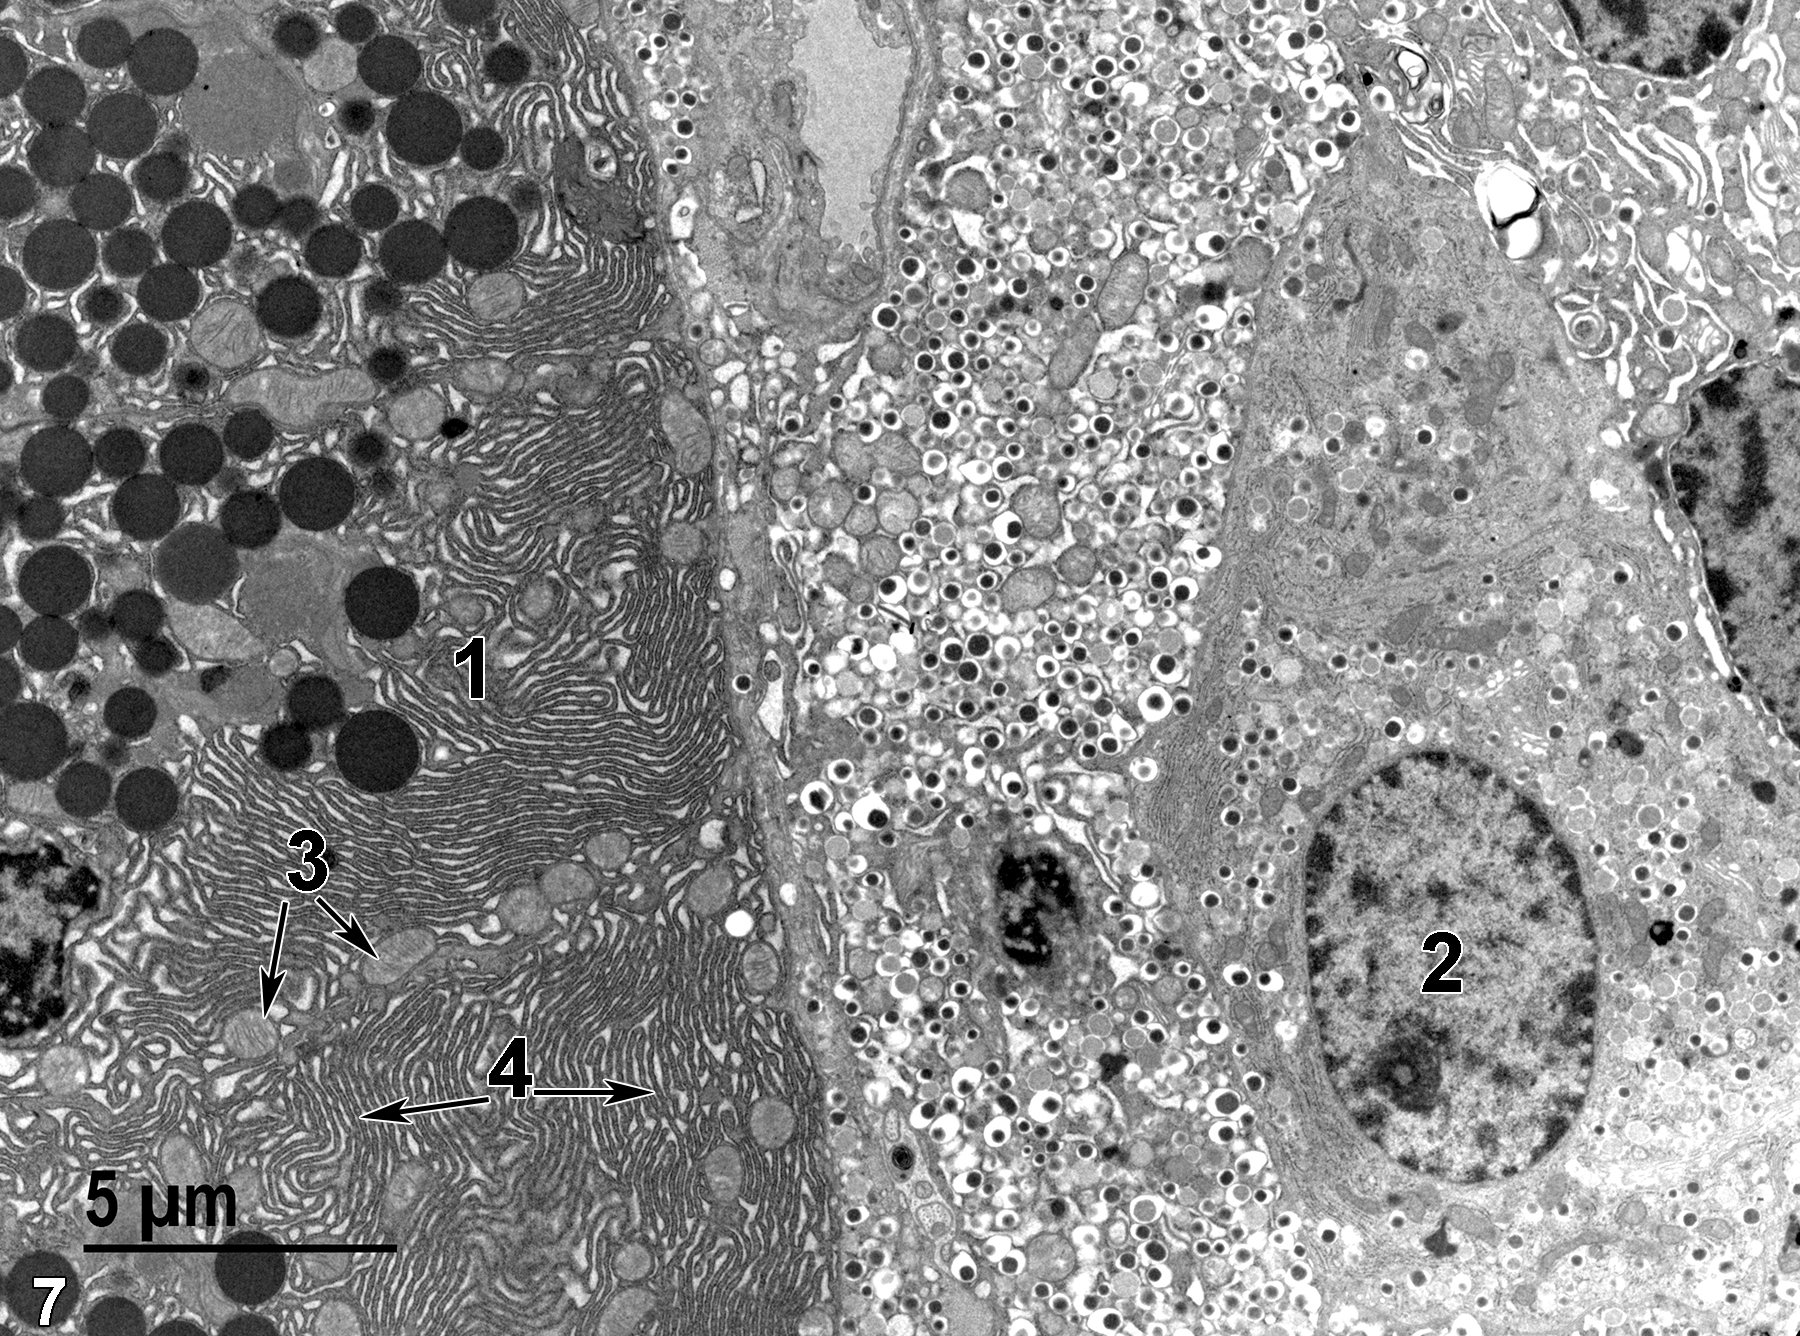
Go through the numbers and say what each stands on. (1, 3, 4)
1. glandular epithelial cell of the parenchyma
3. mitochondria
4. rough endoplasmic reticulum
